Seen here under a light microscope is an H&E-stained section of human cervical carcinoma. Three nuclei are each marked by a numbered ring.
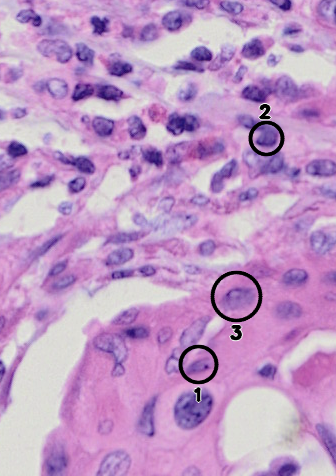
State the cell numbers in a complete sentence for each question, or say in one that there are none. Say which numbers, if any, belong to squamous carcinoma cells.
The numbers 1 and 3 refer to cells that are squamous carcinoma cells.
